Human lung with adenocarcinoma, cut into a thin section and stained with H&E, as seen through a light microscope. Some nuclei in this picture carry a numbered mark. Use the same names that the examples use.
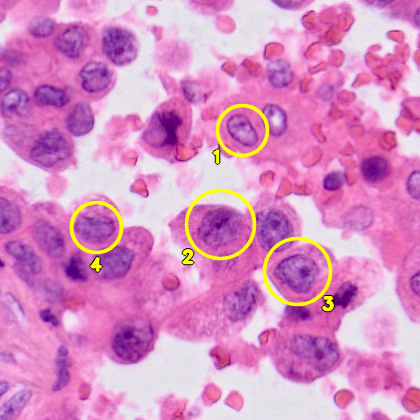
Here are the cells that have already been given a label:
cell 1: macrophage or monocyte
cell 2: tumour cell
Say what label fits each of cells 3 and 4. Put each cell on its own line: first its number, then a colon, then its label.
3: tumour cell
4: tumour cell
